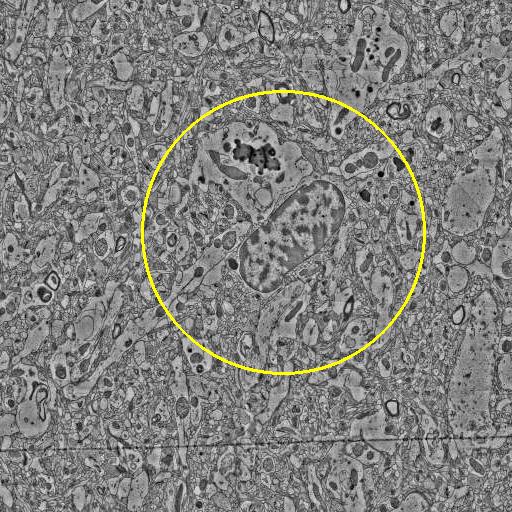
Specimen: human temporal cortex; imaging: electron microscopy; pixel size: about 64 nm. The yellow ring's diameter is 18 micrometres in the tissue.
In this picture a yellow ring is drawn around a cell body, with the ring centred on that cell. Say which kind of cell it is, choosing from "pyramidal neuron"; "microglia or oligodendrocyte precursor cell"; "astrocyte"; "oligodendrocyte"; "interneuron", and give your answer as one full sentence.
Here it is a microglial cell or oligodendrocyte precursor cell that sits at the centre of the drawn yellow ring.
